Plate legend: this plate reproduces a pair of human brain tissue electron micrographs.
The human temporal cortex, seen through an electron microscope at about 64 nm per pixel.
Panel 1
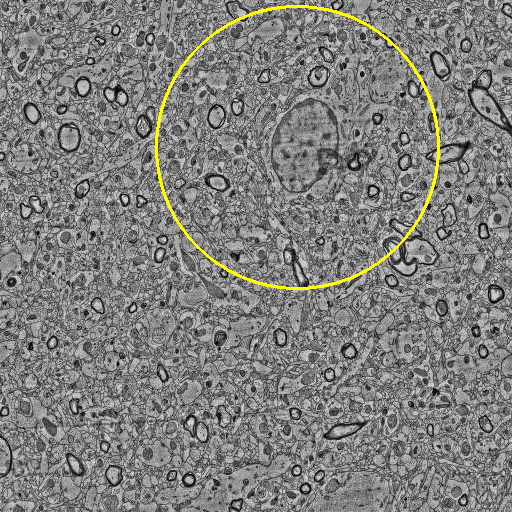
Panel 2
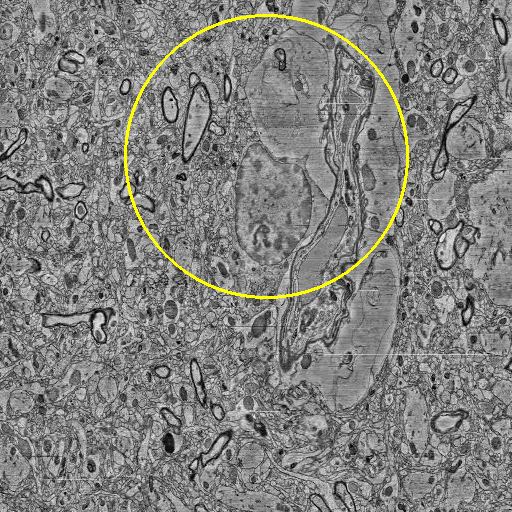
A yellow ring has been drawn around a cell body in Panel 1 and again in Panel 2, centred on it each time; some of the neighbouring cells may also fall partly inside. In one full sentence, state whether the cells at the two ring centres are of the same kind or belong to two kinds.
The ring-centred cells of Panel 1 and Panel 2 belong to two kinds.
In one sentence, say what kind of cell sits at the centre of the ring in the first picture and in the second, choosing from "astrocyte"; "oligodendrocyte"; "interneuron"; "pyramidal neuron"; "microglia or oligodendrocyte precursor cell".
The first picture's ringed cell is a microglial cell or oligodendrocyte precursor cell, while the second picture's is an oligodendrocyte.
